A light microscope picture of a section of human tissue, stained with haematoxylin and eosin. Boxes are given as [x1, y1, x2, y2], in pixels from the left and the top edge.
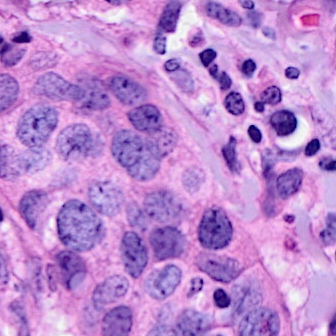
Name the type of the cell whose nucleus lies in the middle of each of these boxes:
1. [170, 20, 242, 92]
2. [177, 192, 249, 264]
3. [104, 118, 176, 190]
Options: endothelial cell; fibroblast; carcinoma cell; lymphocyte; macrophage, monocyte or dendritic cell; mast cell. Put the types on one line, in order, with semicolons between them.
lymphocyte; carcinoma cell; carcinoma cell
